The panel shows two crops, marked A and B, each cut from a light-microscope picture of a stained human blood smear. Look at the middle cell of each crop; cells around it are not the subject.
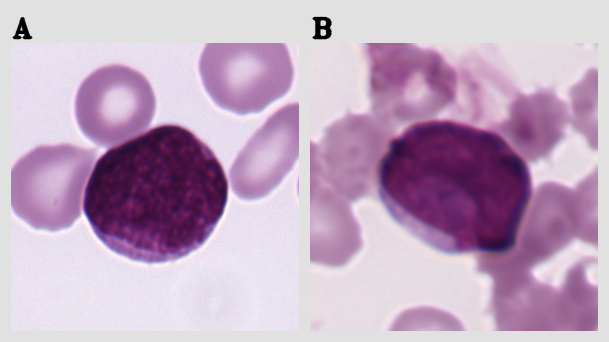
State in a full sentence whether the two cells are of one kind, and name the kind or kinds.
Yes, blasts are shown in both crops.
